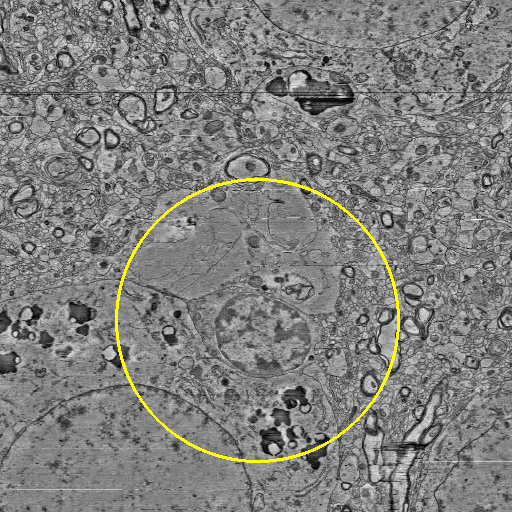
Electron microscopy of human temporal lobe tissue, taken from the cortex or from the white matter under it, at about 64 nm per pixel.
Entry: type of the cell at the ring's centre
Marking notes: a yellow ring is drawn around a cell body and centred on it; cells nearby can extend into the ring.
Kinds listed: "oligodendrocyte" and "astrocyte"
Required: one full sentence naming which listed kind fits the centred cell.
My entry names an oligodendrocyte as the cell whose body the yellow ring centres on.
